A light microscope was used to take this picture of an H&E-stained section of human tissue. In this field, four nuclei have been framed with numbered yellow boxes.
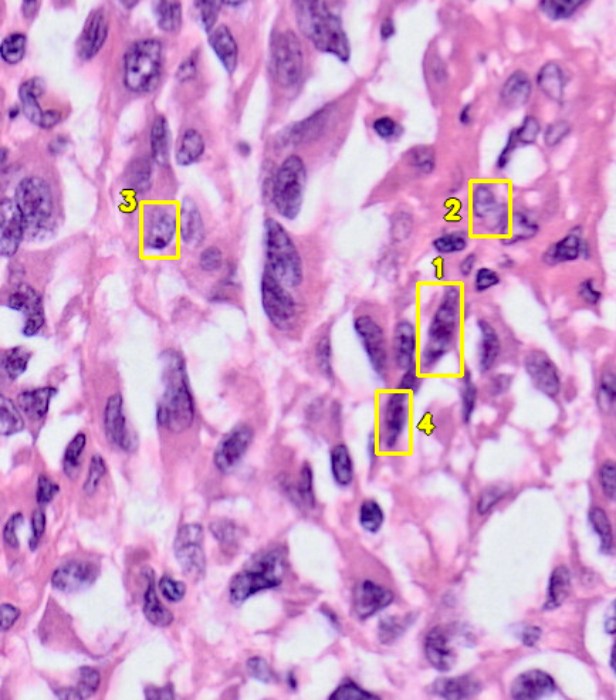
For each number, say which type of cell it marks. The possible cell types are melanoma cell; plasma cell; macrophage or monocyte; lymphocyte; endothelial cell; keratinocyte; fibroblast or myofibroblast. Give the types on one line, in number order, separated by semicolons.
melanoma cell; endothelial cell; melanoma cell; melanoma cell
